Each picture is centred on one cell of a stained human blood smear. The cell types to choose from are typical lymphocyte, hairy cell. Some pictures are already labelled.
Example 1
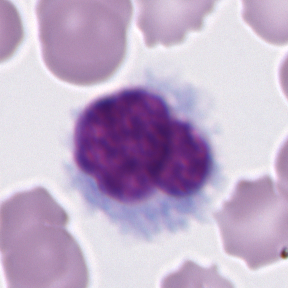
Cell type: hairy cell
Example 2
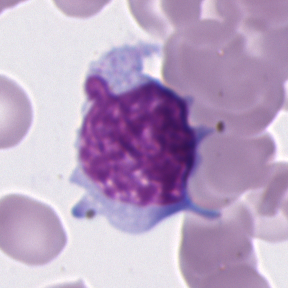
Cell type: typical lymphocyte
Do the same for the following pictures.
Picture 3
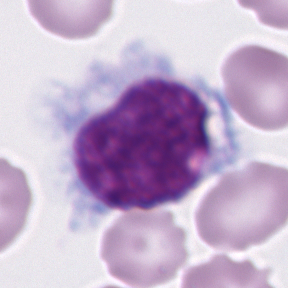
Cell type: hairy cell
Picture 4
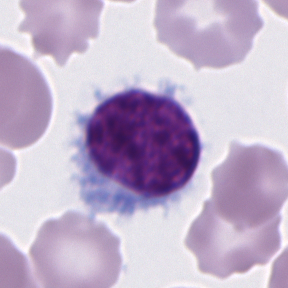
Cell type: hairy cell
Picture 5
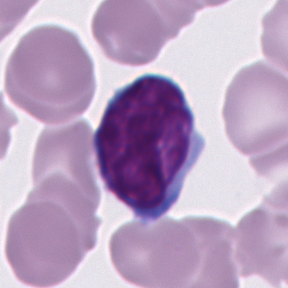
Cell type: typical lymphocyte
